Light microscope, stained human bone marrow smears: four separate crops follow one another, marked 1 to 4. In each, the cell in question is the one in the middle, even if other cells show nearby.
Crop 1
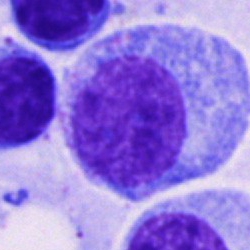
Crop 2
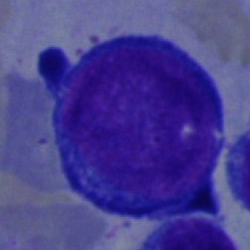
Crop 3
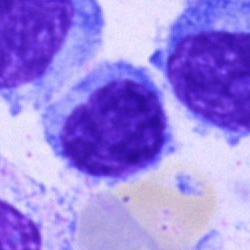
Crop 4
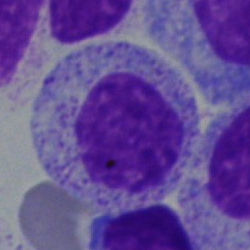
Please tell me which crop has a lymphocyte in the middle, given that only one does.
3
